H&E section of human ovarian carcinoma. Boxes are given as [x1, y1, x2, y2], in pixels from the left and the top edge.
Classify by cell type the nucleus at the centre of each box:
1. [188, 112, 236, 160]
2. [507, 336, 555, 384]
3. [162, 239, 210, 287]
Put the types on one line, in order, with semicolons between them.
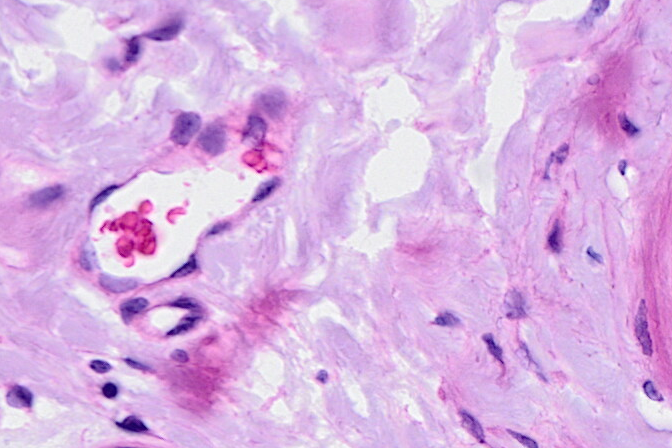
endothelial cell; fibroblast; endothelial cell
